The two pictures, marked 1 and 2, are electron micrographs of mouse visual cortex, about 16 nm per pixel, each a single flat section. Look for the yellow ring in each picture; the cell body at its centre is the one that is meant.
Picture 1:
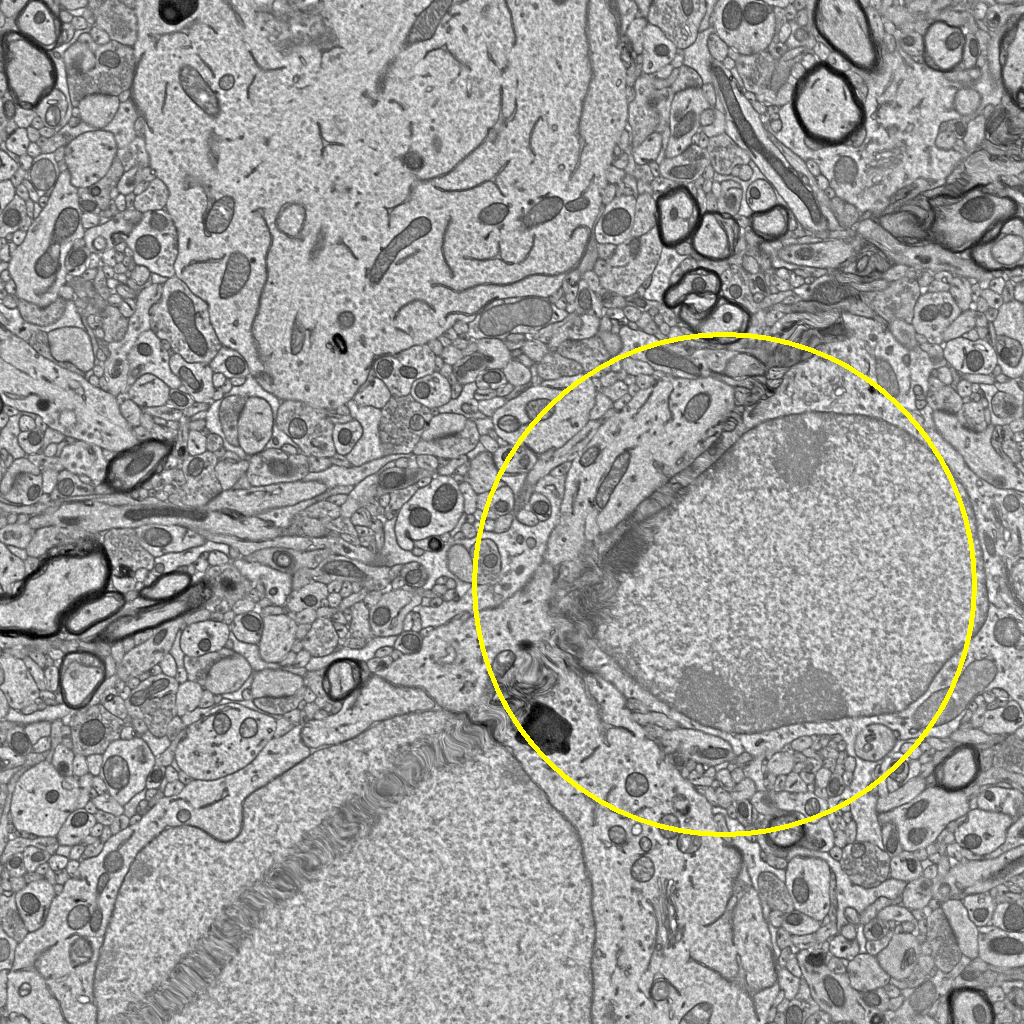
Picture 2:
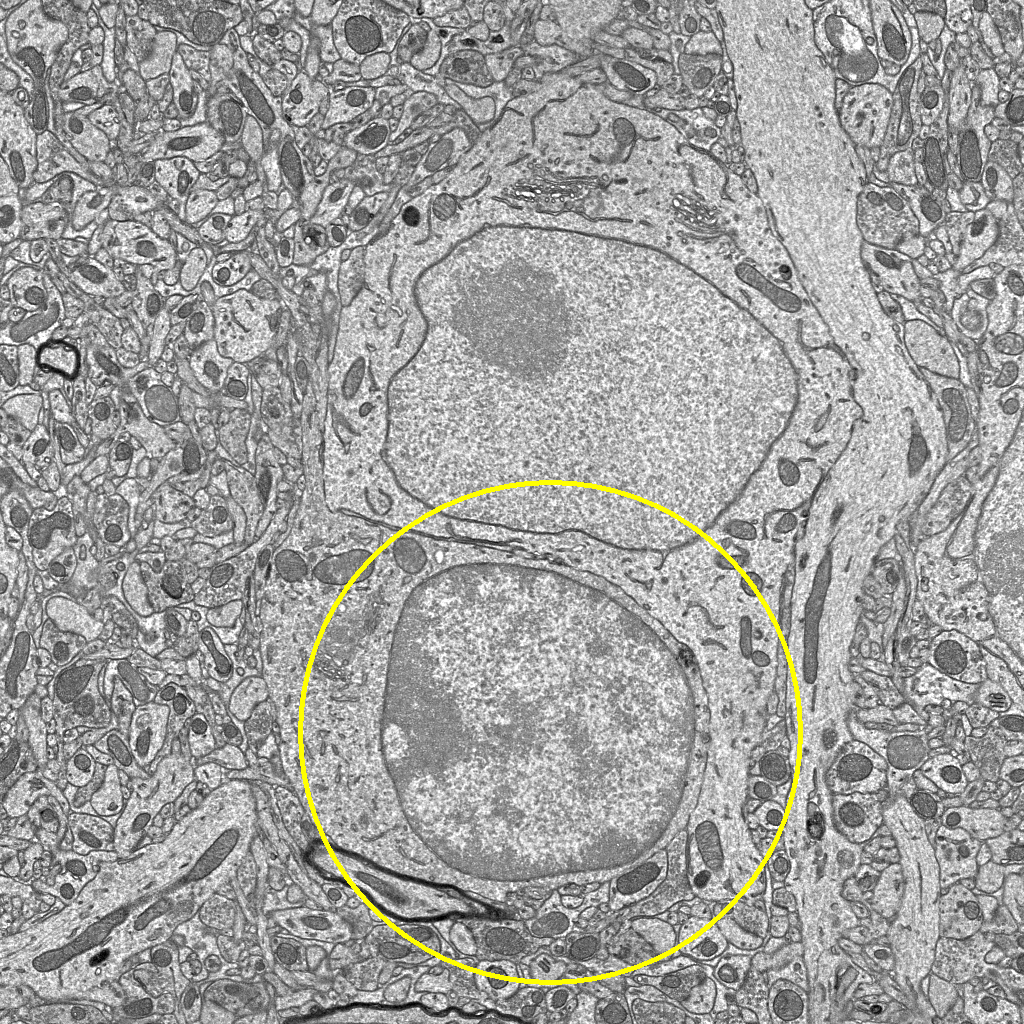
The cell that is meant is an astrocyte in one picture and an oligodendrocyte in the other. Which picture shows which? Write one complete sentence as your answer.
Picture 2 shows an oligodendrocyte, while picture 1 shows an astrocyte.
